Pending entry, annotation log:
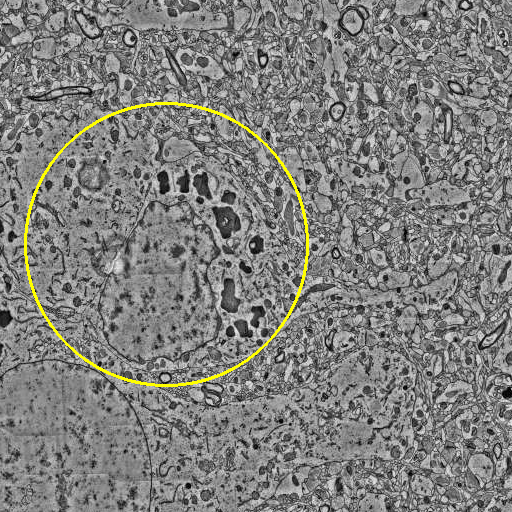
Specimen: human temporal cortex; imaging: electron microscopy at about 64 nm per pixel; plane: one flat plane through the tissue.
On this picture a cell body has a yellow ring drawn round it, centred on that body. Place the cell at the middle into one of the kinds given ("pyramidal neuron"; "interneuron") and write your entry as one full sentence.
The cell body at the middle of the yellow ring belongs to an interneuron.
